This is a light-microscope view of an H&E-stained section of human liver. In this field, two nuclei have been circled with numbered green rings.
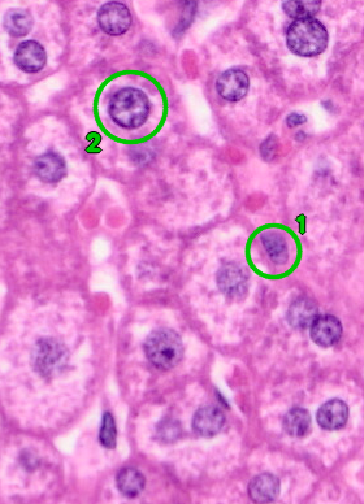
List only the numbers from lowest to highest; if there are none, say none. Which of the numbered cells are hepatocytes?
2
